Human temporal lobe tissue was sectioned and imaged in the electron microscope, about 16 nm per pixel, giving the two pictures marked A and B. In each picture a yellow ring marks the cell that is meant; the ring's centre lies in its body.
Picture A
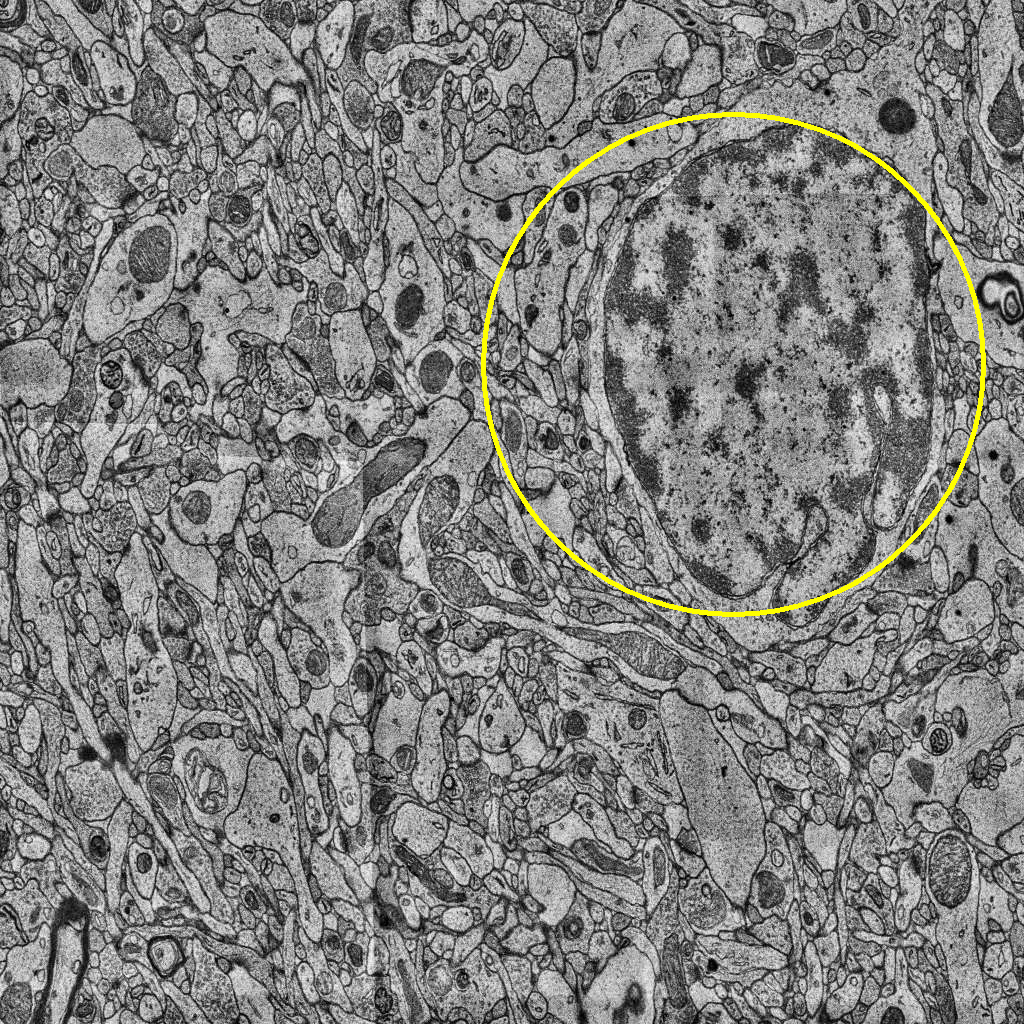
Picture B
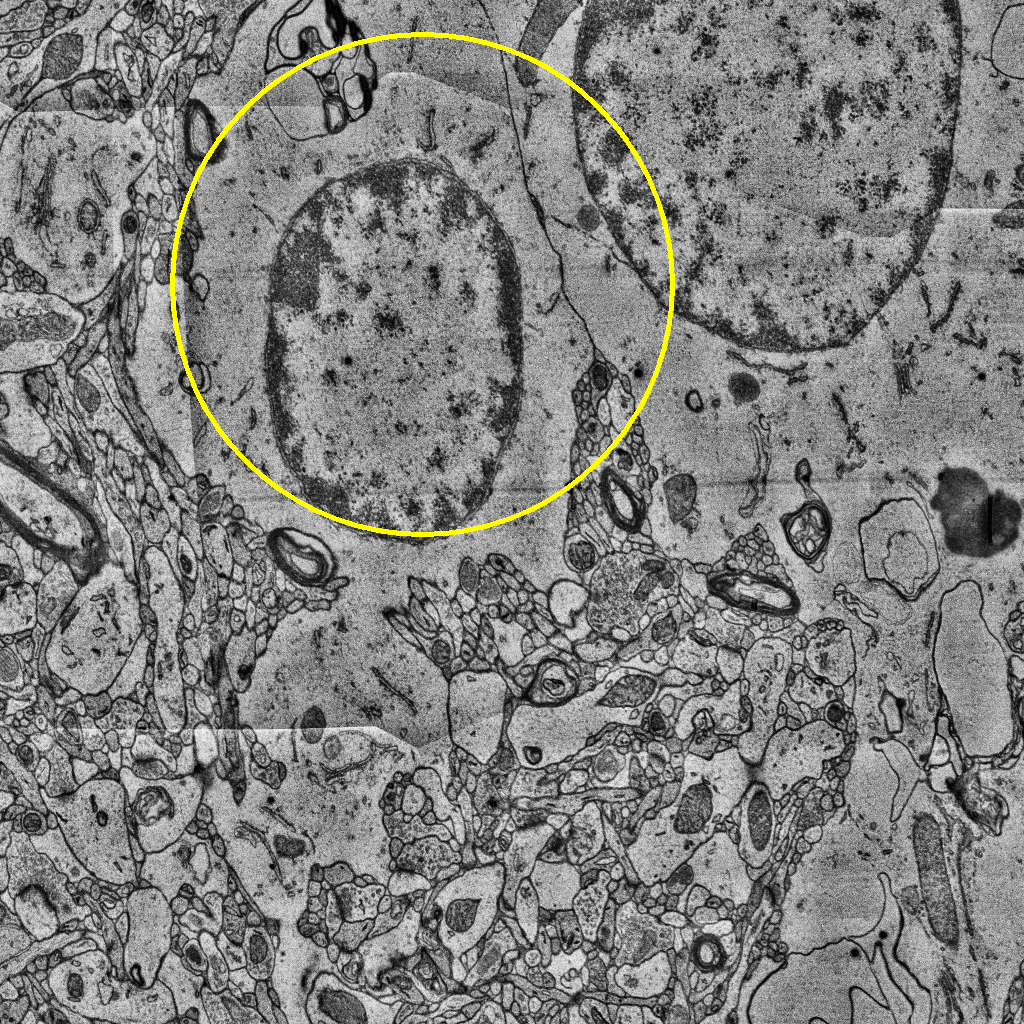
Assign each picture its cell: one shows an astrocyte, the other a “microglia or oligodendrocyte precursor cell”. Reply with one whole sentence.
Picture A shows a “microglia or oligodendrocyte precursor cell” and picture B shows an astrocyte.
